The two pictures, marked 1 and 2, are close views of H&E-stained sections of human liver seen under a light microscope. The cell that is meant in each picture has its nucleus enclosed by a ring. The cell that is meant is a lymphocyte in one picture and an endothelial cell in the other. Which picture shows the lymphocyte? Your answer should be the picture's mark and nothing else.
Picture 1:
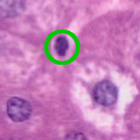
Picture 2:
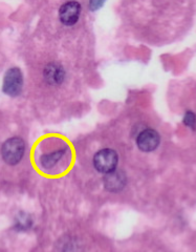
1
